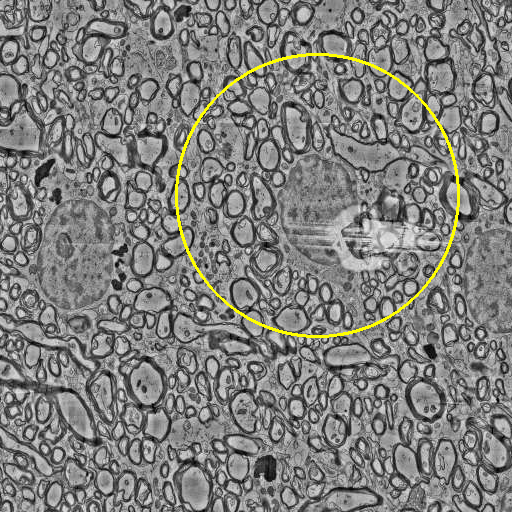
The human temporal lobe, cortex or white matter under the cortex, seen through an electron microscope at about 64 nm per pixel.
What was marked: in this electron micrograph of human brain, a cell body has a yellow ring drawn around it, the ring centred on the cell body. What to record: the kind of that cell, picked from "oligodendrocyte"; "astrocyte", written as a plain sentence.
The centred cell is an oligodendrocyte.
